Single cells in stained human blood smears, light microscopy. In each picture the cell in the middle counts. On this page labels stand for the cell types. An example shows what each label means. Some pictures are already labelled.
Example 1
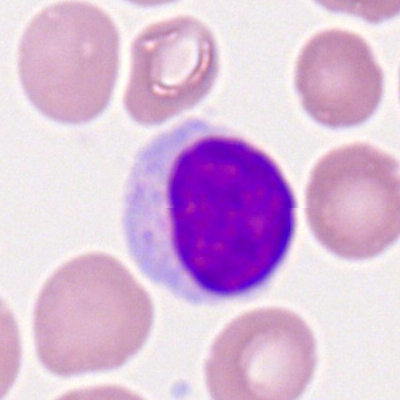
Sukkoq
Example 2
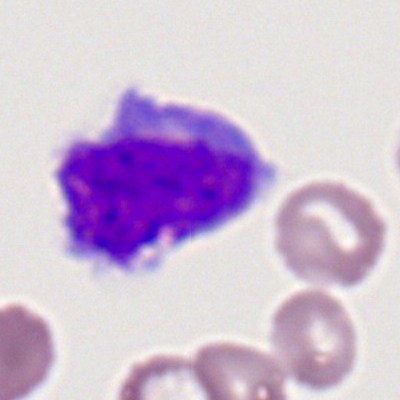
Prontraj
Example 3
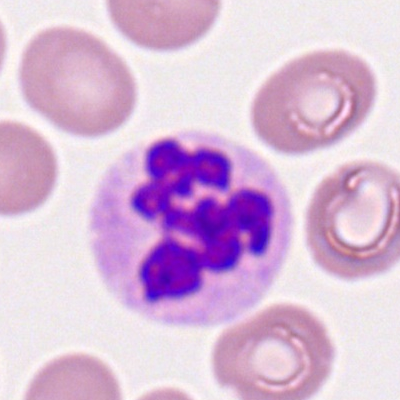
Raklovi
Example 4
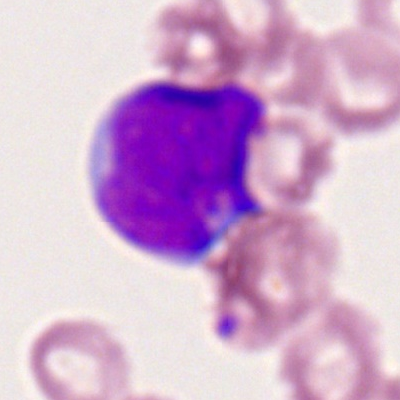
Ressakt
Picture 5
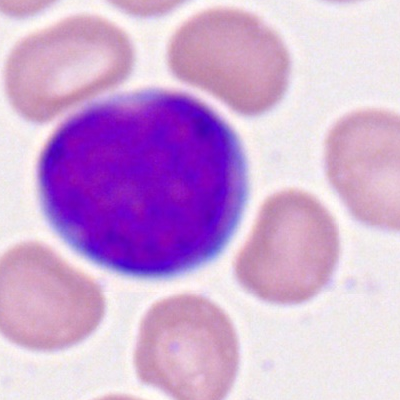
Ressakt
